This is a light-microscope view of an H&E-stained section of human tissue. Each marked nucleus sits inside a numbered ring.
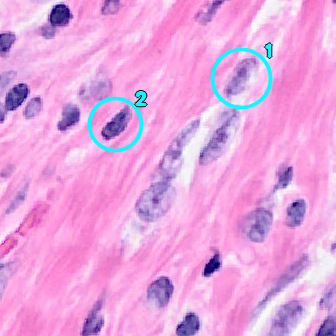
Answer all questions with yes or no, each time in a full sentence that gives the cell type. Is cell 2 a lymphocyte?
Yes, in this section the cell with number 2 is a lymphocyte.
